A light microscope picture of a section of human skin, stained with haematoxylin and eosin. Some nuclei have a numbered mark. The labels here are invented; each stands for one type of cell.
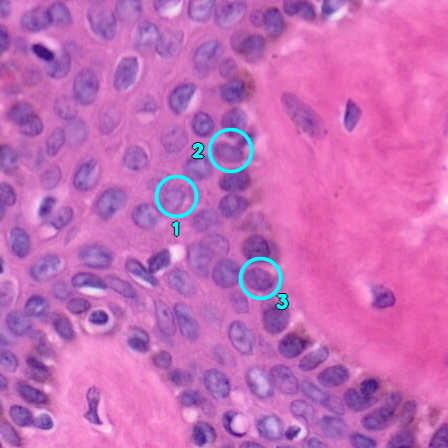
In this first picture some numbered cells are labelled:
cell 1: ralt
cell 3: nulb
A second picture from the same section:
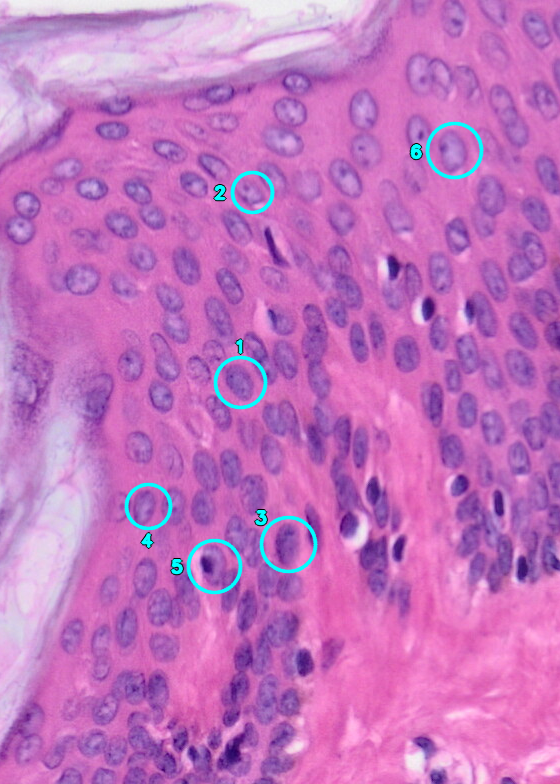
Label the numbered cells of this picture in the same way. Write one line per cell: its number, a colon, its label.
1: ralt
2: ralt
3: nulb
4: ralt
5: nulb
6: ralt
